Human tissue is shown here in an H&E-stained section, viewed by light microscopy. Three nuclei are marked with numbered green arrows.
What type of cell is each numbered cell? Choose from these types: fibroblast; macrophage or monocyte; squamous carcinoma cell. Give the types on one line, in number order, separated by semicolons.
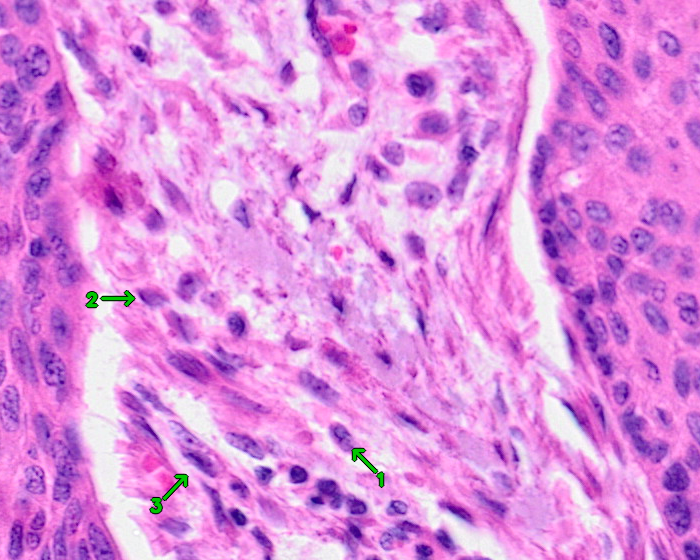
macrophage or monocyte; fibroblast; fibroblast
